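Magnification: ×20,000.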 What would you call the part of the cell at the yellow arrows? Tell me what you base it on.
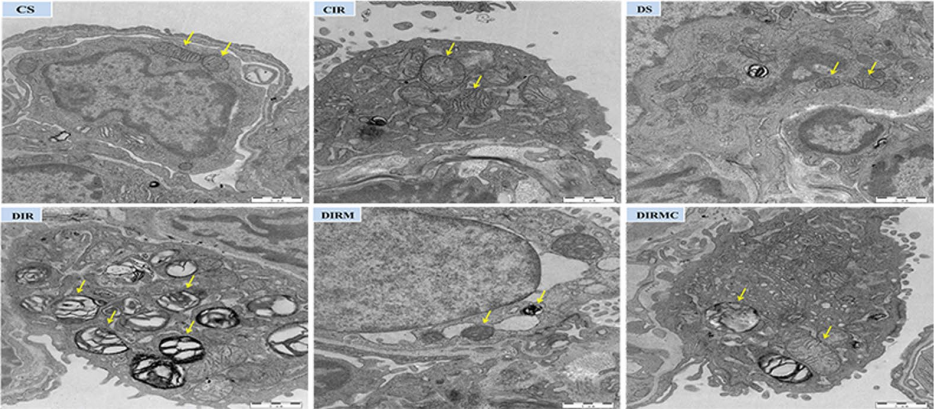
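Mitochondria. The yellow arrows point to small oval membrane-bound organelles in the cytoplasm. Several of the pointed-to organelles show internal cristae-like folds. Some of the pointed-to organelles appear enlarged with pale interiors.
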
